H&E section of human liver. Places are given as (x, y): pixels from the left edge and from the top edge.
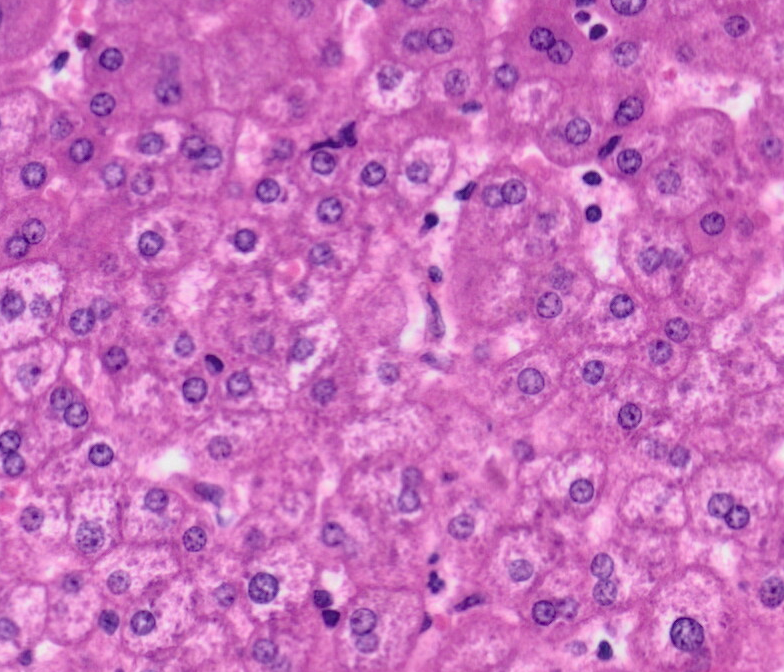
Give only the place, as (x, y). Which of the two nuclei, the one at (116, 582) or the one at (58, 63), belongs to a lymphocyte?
(58, 63)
